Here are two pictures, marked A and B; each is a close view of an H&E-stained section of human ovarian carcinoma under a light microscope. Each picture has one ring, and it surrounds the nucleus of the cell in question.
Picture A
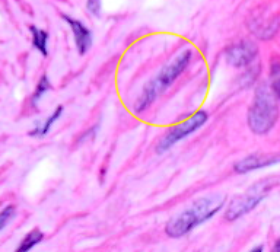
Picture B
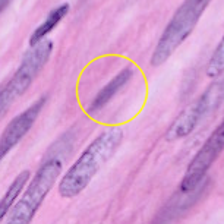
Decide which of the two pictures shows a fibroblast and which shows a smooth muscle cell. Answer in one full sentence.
In picture A the cell is a fibroblast; in picture B, a smooth muscle cell.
